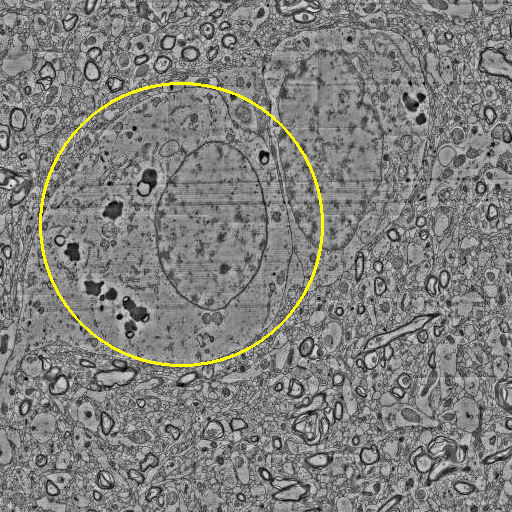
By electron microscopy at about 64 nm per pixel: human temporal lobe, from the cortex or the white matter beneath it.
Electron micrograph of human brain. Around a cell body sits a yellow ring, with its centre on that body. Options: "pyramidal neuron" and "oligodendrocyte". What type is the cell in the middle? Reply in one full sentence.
The cell sitting at the centre of the yellow ring is a pyramidal neuron.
